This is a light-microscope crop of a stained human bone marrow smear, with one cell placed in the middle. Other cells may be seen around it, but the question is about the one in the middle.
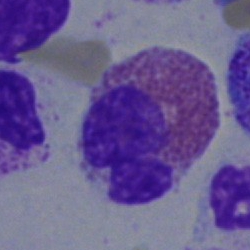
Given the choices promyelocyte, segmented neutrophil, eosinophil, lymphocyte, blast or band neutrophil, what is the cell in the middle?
eosinophil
